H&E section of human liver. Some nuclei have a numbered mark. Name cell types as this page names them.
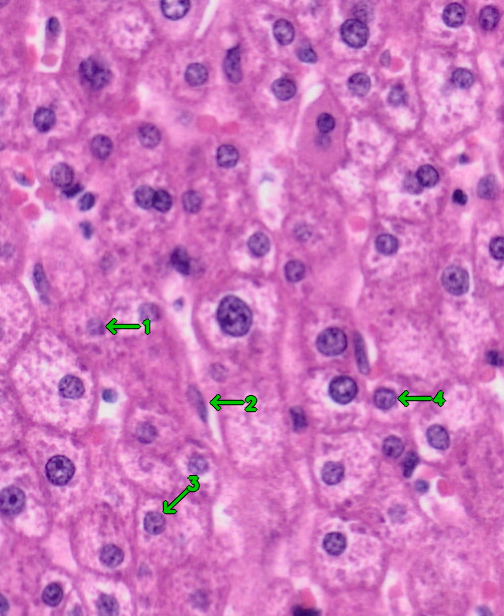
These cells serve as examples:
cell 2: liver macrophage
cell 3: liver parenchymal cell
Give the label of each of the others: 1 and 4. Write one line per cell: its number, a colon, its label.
1: liver parenchymal cell
4: liver parenchymal cell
